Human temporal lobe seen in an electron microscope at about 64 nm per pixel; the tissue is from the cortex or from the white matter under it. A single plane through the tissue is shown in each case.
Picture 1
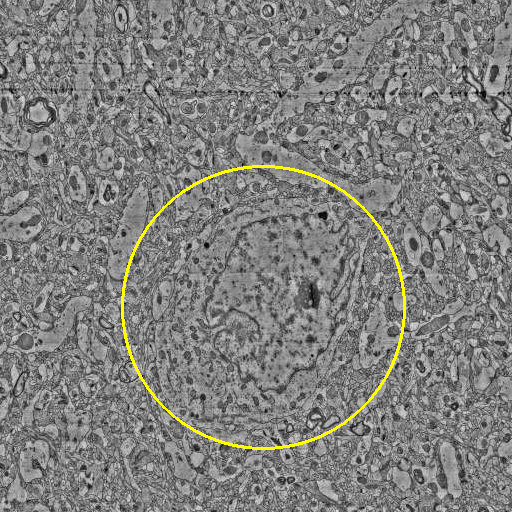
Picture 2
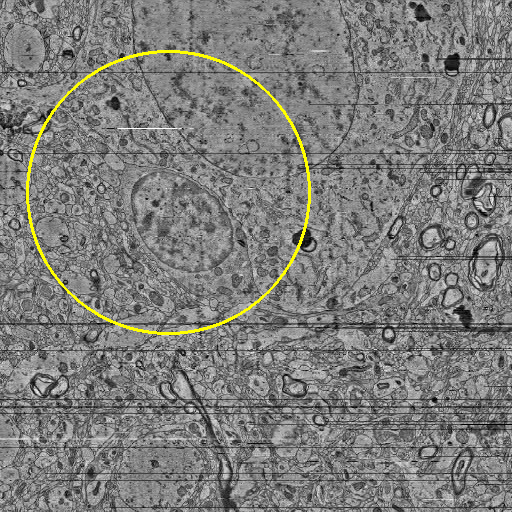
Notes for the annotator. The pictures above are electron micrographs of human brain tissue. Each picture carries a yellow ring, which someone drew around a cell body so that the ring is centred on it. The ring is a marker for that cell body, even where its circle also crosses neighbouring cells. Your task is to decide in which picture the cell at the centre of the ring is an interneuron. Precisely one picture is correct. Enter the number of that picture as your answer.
1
